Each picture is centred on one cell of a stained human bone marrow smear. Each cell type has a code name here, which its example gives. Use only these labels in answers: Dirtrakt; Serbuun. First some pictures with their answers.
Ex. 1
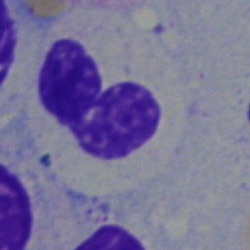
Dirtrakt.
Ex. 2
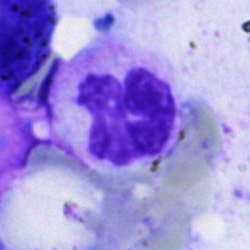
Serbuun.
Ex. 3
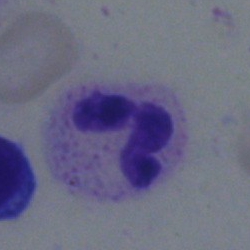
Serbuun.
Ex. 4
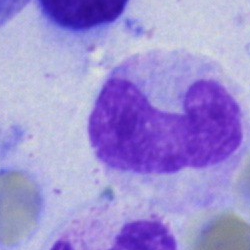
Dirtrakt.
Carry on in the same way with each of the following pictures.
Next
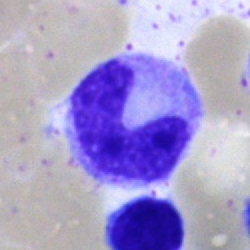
Dirtrakt.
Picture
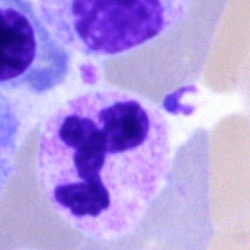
Serbuun.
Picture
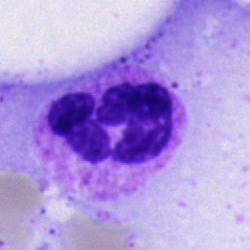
Serbuun.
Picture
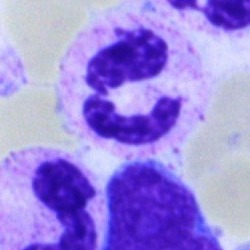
Serbuun.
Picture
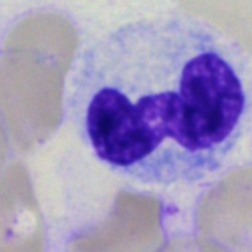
Dirtrakt.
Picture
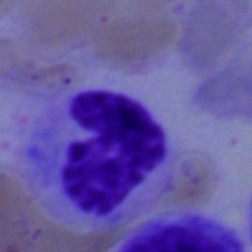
Dirtrakt.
